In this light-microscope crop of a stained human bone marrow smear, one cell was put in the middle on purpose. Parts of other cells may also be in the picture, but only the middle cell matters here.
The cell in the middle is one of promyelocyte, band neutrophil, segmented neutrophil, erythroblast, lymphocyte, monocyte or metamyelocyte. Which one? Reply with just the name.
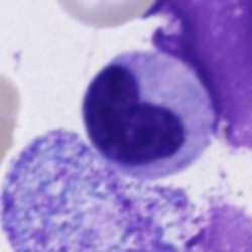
metamyelocyte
